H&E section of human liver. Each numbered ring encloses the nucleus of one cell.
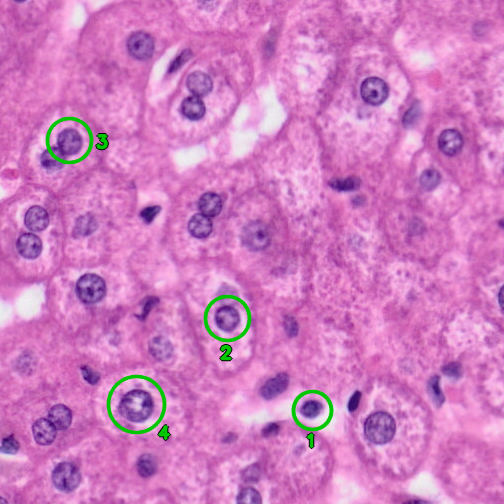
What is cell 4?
hepatocyte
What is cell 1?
lymphocyte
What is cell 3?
hepatocyte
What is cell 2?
hepatocyte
